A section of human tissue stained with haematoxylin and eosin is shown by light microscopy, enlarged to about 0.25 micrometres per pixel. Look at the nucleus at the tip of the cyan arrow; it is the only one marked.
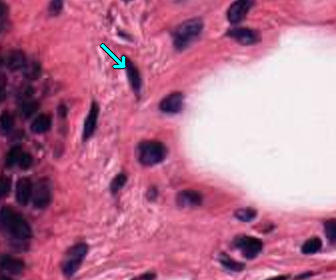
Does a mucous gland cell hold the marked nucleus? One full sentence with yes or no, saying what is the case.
No, the marked nucleus is located in a supporting cell and not in a mucous gland cell.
